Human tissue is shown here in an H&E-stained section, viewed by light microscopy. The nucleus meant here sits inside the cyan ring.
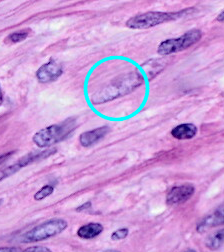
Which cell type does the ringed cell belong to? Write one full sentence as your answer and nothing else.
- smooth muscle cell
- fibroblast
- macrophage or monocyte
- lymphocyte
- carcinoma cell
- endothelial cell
As classified here, the ringed cell is a fibroblast.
